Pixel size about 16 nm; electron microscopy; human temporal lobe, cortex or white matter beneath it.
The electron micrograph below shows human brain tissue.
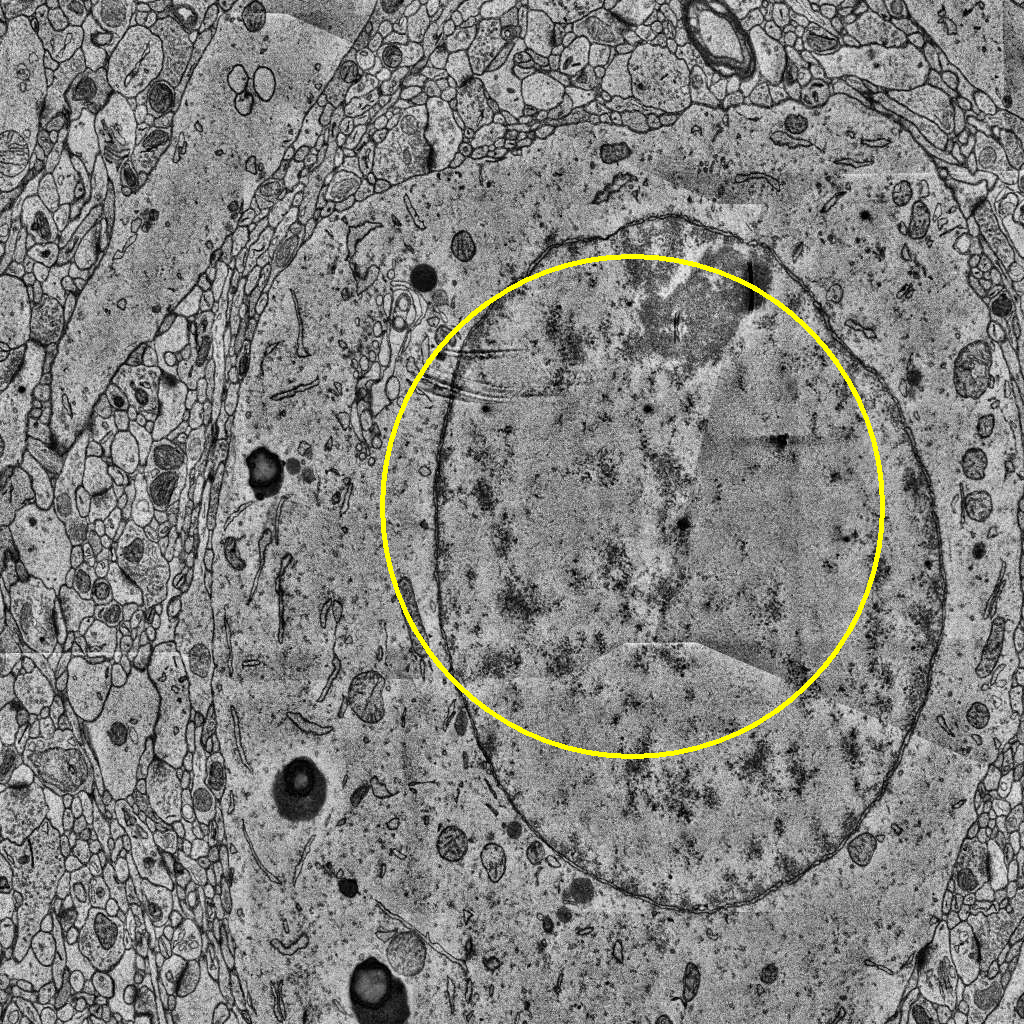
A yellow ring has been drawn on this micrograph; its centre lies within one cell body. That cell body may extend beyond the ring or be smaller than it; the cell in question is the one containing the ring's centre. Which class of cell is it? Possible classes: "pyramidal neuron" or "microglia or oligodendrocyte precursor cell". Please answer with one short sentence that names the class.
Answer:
In the centre of the ring sits a pyramidal neuron.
